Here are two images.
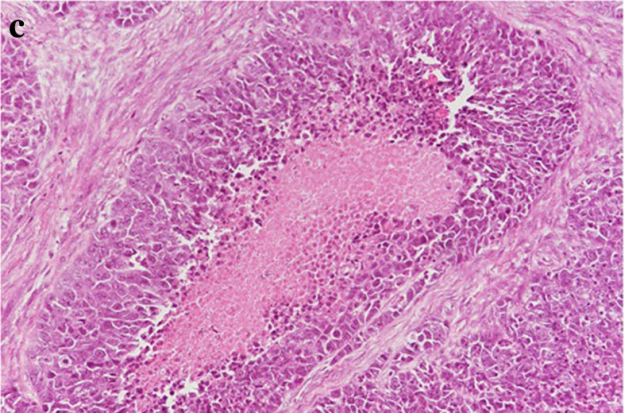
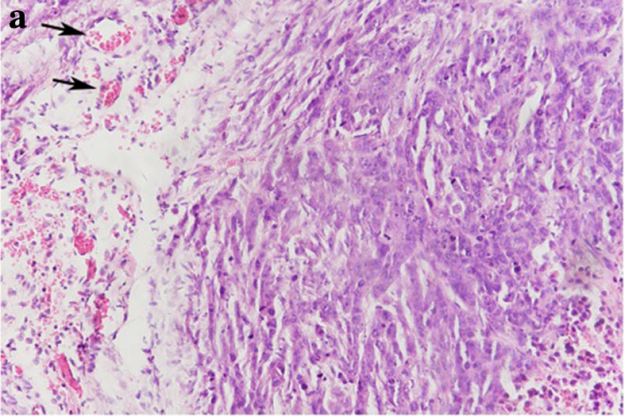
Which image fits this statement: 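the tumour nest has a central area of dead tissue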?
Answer: The first image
